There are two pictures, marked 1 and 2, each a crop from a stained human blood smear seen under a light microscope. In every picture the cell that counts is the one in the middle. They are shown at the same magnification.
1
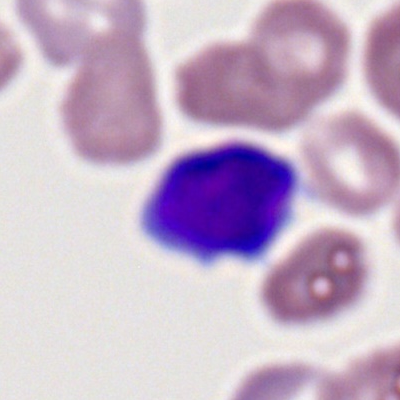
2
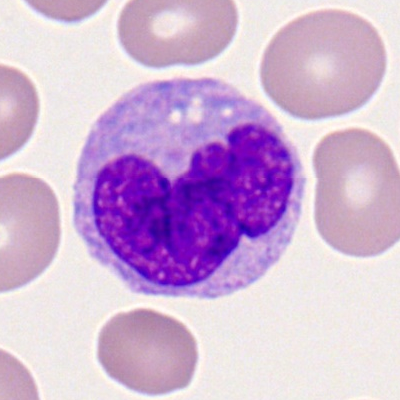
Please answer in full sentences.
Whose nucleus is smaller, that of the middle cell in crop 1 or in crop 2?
Smaller is the nucleus in crop 1, and the other is about 2 times as large in area.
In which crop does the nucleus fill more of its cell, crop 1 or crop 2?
The nucleus fills more of the cell in crop 1 than in crop 2.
